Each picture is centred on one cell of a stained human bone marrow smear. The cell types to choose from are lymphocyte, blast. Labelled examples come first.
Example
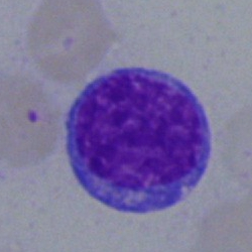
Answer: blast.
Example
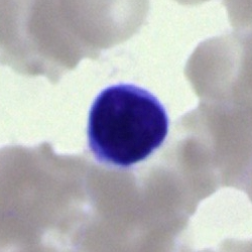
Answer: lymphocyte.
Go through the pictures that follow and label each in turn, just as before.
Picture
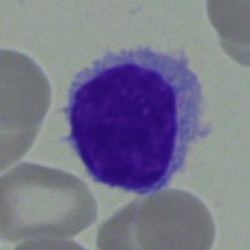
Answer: lymphocyte.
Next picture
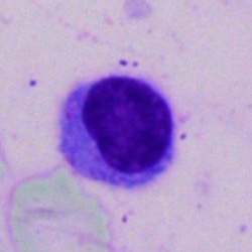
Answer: lymphocyte.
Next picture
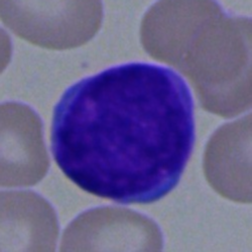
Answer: blast.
